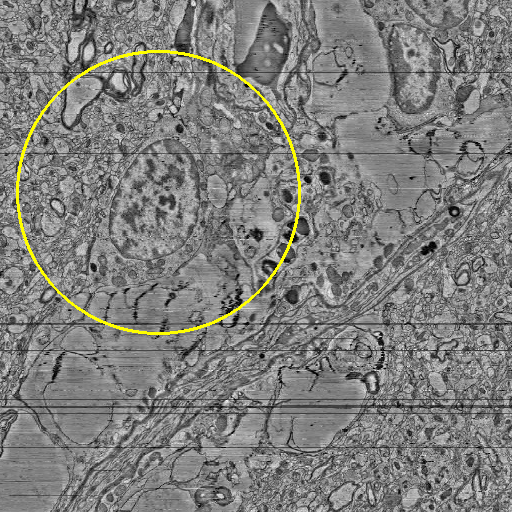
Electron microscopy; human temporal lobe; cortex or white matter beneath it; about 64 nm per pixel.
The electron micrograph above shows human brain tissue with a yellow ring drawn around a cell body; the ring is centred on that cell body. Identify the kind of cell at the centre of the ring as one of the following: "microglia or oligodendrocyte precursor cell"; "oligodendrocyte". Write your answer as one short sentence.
The cell at the centre of the ring is an oligodendrocyte.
